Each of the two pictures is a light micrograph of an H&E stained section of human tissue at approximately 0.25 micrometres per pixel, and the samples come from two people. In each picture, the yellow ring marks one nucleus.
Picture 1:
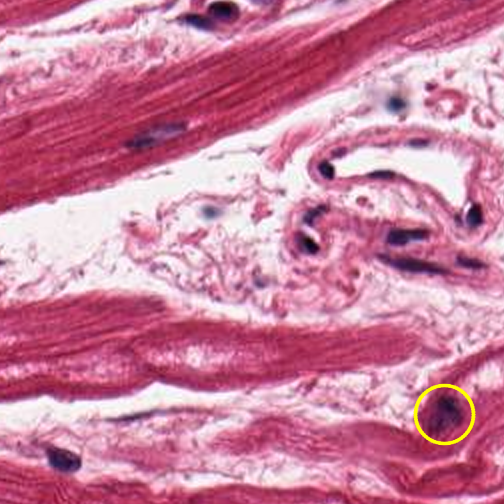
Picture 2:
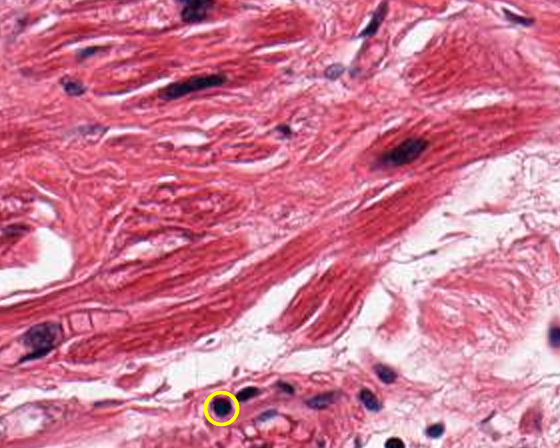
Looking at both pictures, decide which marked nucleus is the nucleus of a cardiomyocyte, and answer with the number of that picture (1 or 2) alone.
1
